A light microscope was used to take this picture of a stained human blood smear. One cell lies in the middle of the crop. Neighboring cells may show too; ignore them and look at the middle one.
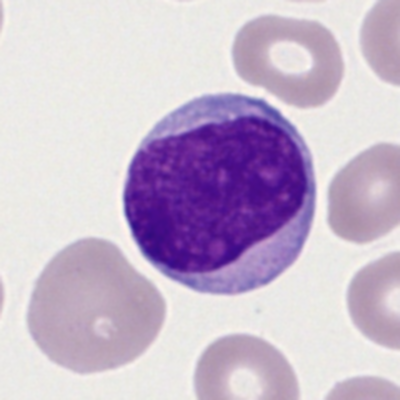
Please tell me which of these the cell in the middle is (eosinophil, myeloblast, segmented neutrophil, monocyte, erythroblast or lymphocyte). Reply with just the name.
myeloblast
